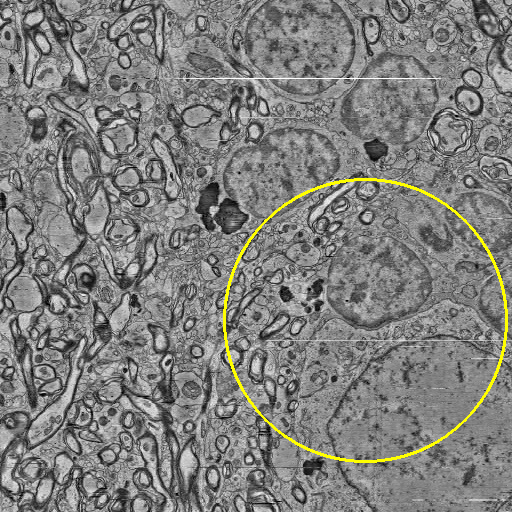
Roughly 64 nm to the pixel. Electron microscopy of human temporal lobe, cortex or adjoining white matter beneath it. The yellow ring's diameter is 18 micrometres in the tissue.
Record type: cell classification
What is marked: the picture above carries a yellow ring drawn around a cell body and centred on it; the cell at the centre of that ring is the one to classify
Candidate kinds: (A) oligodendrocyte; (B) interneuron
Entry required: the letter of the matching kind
A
